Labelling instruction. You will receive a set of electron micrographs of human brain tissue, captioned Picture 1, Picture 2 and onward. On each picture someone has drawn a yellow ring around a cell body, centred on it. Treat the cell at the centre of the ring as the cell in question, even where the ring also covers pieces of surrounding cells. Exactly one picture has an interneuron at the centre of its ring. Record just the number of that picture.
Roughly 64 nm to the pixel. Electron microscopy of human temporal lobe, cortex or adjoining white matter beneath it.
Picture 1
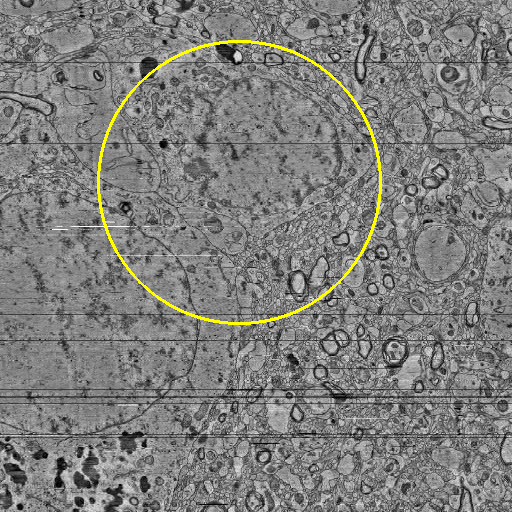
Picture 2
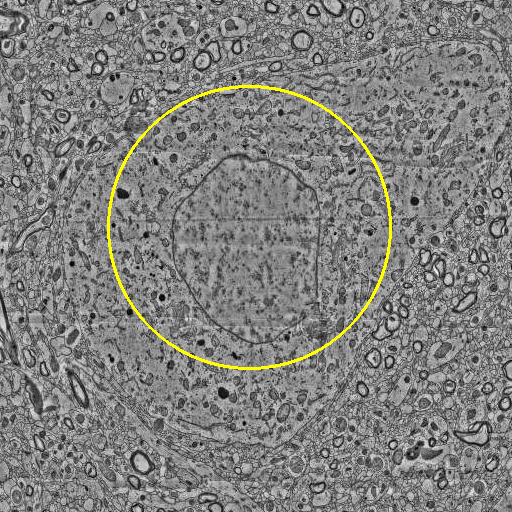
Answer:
1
